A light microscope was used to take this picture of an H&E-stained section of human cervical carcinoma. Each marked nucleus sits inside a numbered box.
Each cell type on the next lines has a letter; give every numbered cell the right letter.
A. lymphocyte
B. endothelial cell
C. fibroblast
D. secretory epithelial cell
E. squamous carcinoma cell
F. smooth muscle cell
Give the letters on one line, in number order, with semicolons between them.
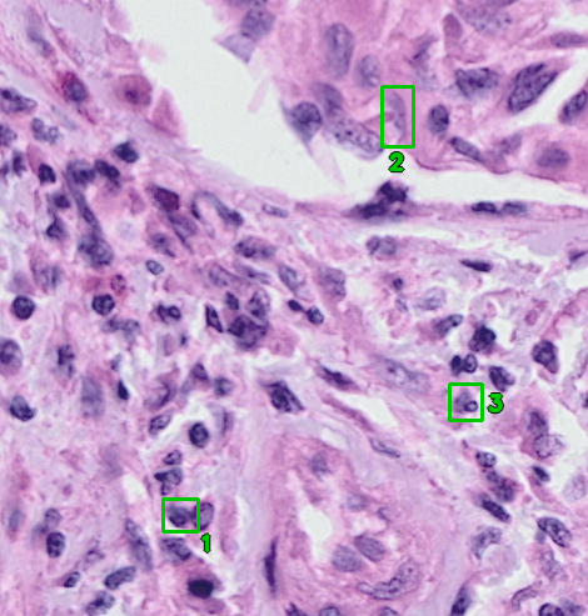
A; E; A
